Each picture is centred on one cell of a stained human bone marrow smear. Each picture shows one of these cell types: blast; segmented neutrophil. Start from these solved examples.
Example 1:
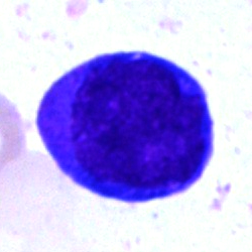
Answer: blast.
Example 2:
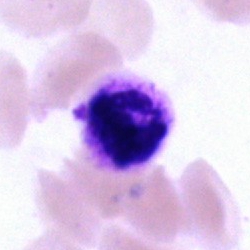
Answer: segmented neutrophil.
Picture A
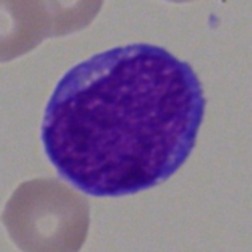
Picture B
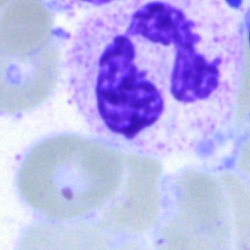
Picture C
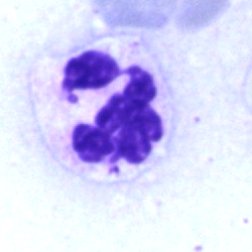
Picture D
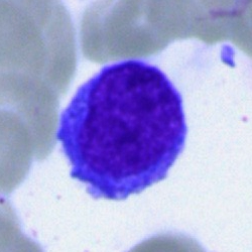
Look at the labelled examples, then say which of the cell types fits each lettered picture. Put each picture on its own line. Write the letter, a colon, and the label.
A: blast.
B: segmented neutrophil.
C: segmented neutrophil.
D: blast.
